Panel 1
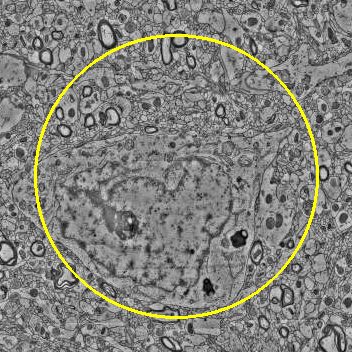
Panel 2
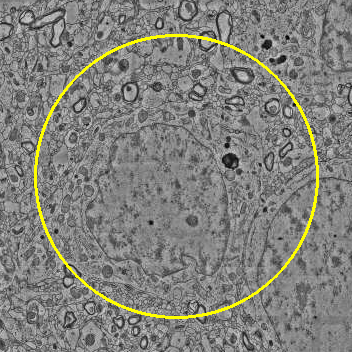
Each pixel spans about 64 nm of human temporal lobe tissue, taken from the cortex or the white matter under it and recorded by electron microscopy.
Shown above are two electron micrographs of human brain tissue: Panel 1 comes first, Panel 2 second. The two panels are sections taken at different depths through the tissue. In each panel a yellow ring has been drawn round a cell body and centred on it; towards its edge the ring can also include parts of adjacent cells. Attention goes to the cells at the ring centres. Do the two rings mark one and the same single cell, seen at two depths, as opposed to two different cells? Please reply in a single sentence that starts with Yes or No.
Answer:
No, the two rings outline two separate cells in this micrograph.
